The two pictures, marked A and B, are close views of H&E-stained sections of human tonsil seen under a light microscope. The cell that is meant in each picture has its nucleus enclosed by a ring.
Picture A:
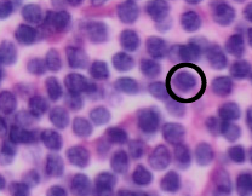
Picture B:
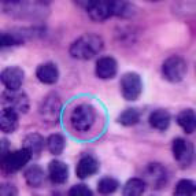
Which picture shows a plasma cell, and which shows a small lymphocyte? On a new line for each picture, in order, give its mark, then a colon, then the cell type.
A: small lymphocyte
B: plasma cell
